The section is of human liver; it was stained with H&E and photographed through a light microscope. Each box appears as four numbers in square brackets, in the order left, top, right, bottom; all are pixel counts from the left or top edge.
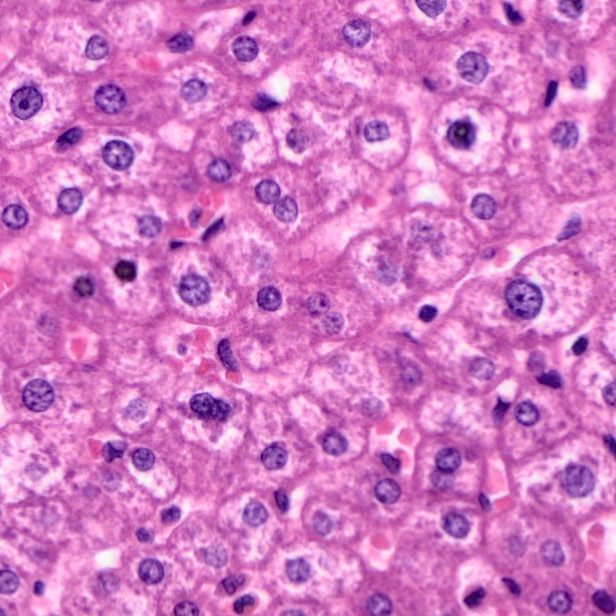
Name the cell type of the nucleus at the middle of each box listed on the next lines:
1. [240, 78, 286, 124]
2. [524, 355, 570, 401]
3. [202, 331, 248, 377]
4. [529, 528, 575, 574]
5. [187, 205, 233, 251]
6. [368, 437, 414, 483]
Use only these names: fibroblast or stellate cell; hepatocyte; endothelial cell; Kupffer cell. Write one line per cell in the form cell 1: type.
cell 1: endothelial cell
cell 2: fibroblast or stellate cell
cell 3: Kupffer cell
cell 4: hepatocyte
cell 5: endothelial cell
cell 6: Kupffer cell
